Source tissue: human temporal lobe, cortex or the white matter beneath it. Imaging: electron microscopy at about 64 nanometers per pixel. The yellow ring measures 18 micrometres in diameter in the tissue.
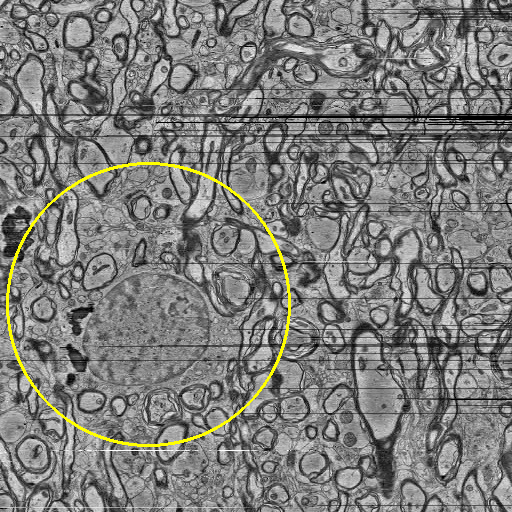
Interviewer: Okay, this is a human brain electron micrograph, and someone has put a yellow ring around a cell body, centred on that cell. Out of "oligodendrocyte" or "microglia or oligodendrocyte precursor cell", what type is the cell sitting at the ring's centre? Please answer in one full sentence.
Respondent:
The cell at the centre of the yellow ring in this picture is an oligodendrocyte.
